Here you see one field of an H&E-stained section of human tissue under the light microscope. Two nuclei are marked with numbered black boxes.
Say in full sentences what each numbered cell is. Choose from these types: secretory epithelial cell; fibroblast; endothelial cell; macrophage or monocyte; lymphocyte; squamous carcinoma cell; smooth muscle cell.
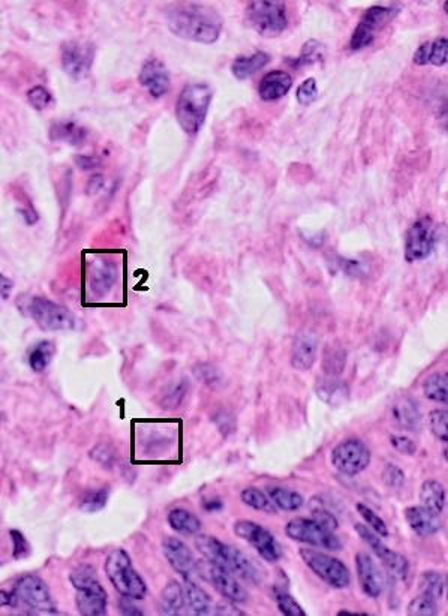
Cell 1 is a fibroblast and cell 2 is an endothelial cell.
